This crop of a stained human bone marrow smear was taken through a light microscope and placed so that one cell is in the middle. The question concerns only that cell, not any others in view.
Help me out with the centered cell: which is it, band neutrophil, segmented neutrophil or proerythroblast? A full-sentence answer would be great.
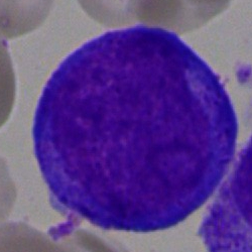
The cell under consideration, at the middle of the crop, is a proerythroblast.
